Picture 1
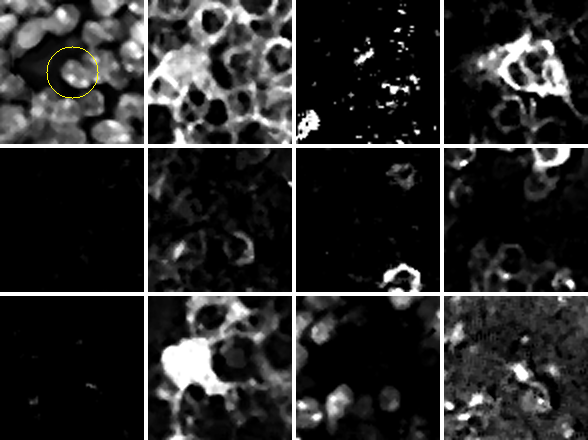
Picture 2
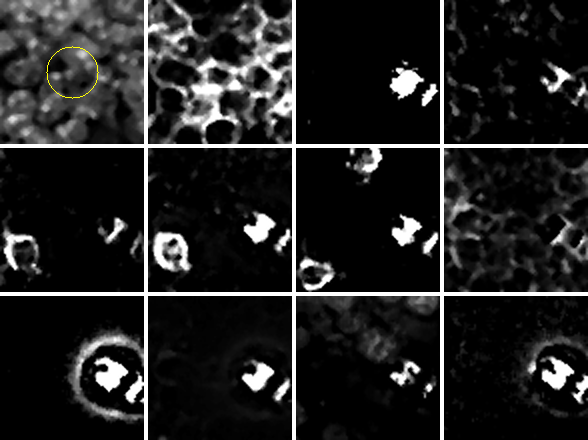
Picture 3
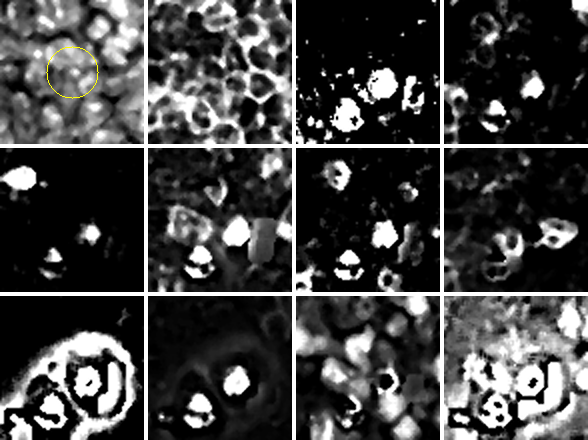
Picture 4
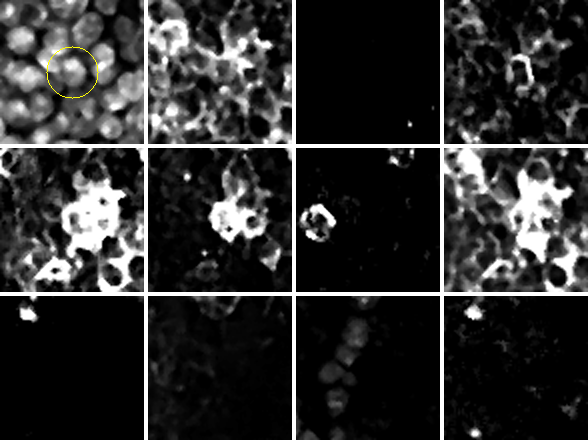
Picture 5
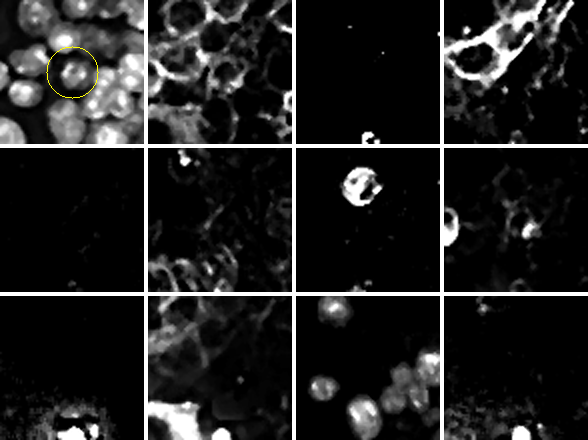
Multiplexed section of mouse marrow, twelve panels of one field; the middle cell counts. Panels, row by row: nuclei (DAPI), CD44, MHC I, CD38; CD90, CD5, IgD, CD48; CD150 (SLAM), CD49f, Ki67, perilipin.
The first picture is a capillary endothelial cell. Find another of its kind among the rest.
Picture 5.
